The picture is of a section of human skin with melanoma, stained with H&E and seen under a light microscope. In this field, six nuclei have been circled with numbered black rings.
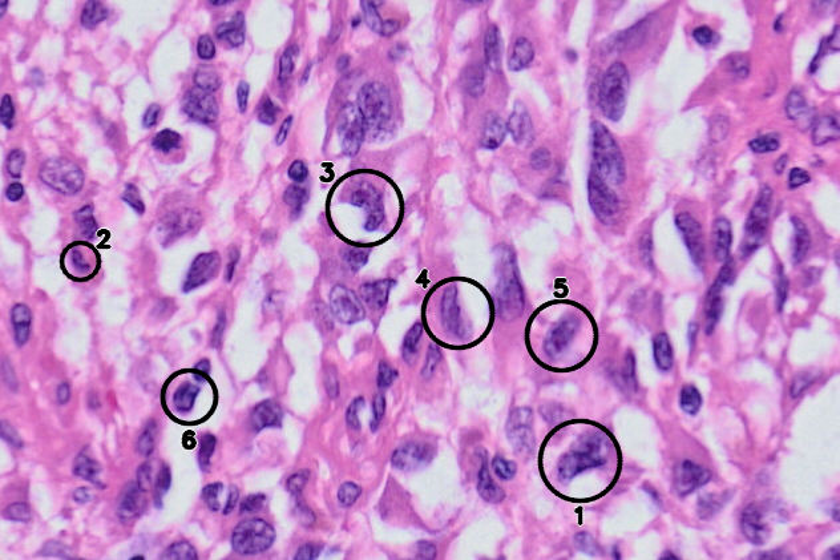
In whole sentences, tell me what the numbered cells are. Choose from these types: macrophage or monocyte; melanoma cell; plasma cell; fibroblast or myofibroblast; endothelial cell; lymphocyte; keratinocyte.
Cell 1 is a melanoma cell, cell 2 is a macrophage or monocyte, cell 3 is a melanoma cell, cell 4 is a melanoma cell, cell 5 is a melanoma cell and cell 6 is a lymphocyte.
